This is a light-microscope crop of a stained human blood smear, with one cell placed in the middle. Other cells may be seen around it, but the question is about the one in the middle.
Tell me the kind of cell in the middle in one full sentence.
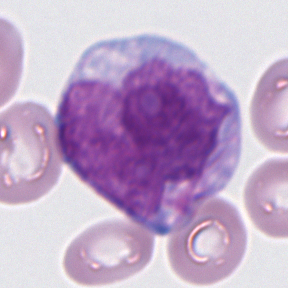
At the center of the crop sits an atypical promyelocyte.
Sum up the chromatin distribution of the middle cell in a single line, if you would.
The key point is fine chromatin with no coarse clumps.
